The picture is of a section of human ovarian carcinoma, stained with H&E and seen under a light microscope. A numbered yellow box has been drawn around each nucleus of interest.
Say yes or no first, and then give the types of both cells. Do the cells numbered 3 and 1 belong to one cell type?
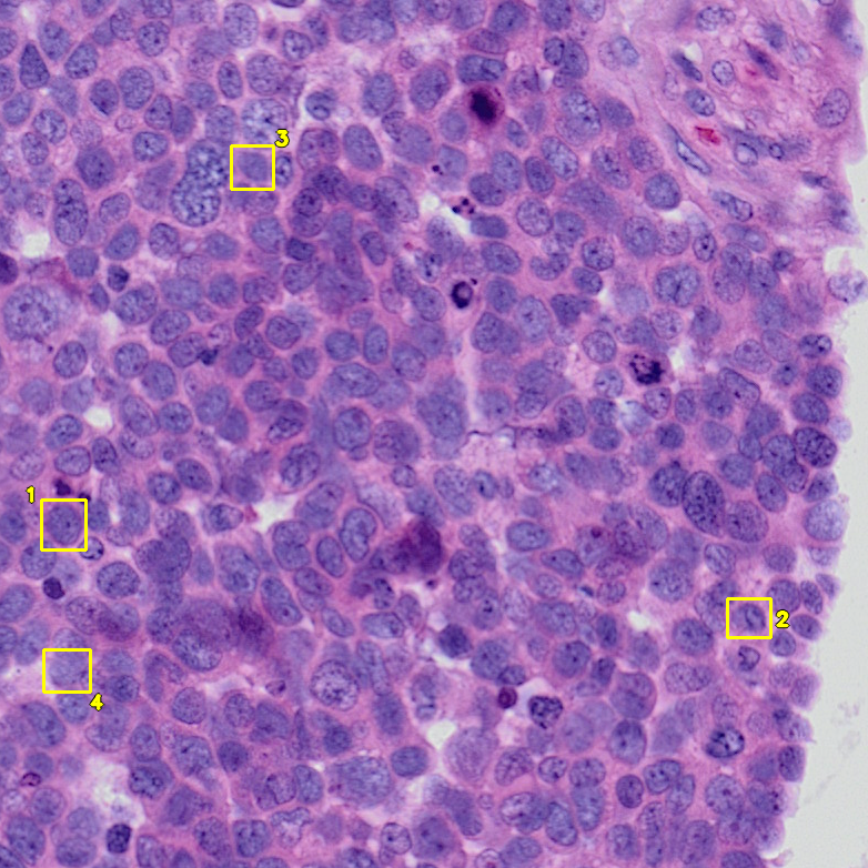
Yes, regarding cells 3 and 1, both are carcinoma cells.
